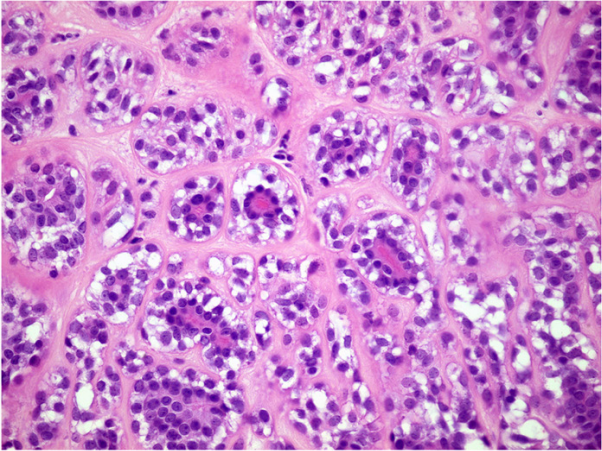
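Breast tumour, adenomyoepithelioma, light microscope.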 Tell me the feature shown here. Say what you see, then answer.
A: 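Glassy, pink, acellular bands separate the cell nests. So: Homogenous, hyalinised stroma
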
